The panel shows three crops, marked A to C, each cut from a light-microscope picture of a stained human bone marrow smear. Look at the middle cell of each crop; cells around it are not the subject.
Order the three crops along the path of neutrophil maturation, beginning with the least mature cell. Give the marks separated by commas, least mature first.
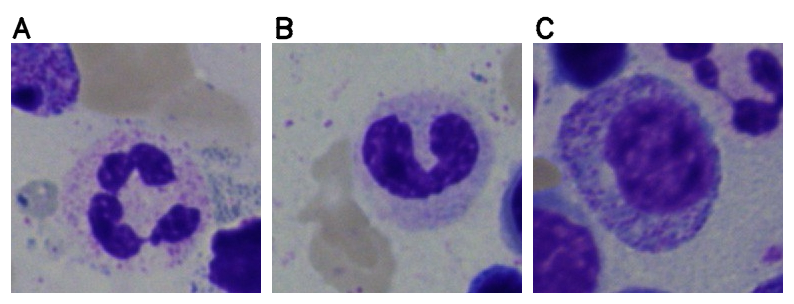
C, B, A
